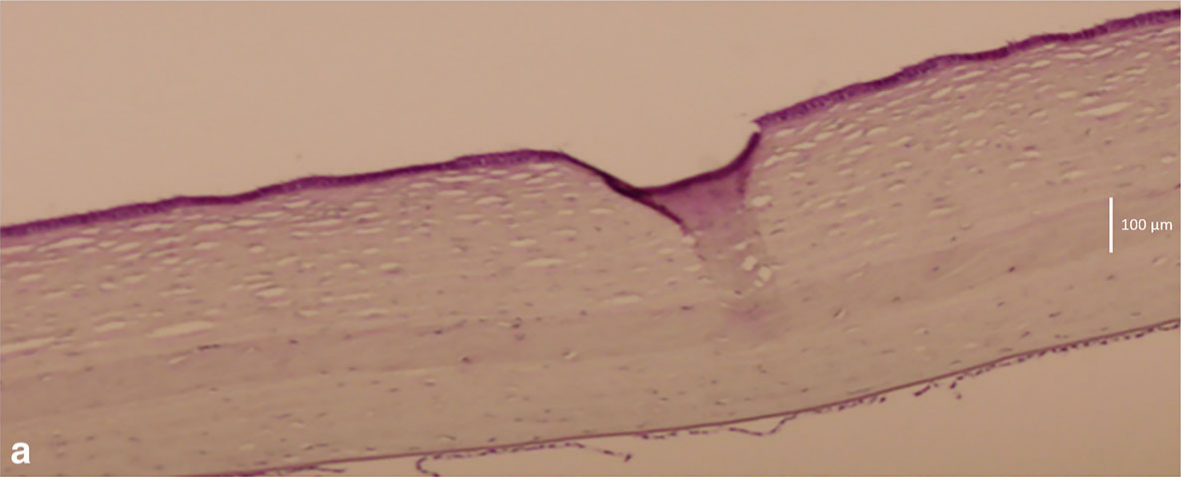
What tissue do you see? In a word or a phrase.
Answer: Cornea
